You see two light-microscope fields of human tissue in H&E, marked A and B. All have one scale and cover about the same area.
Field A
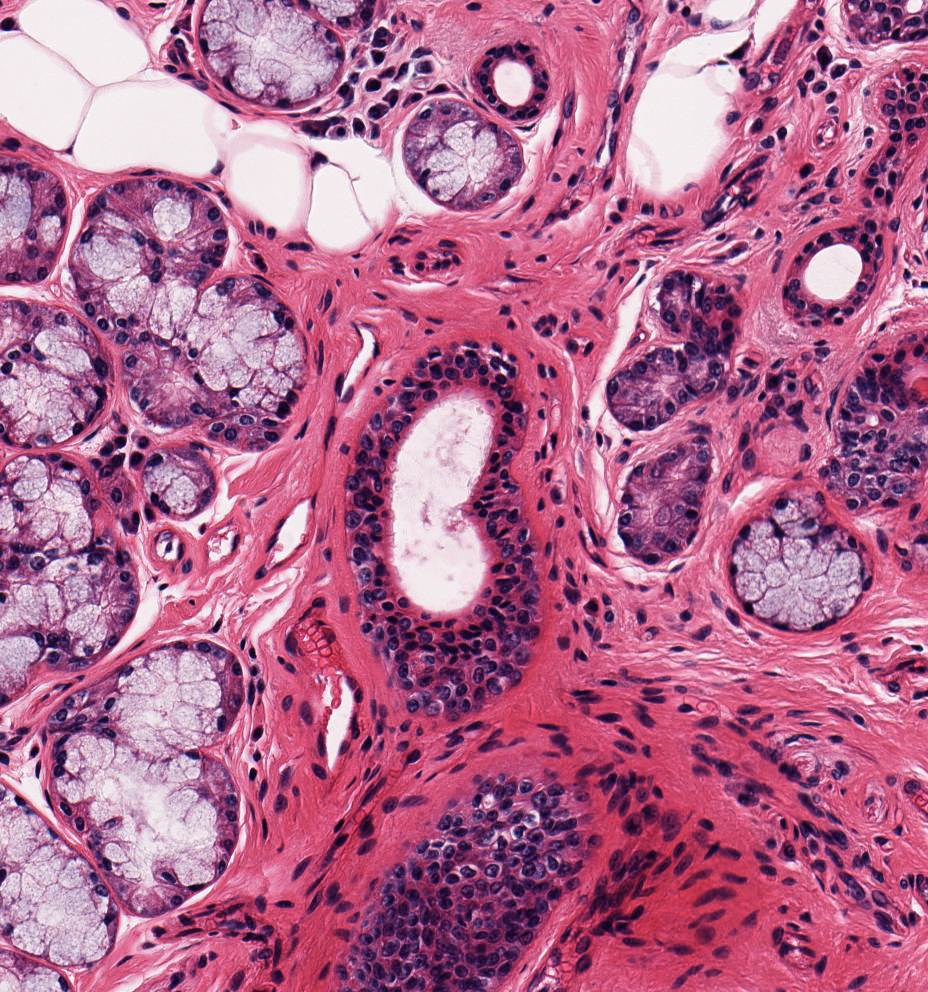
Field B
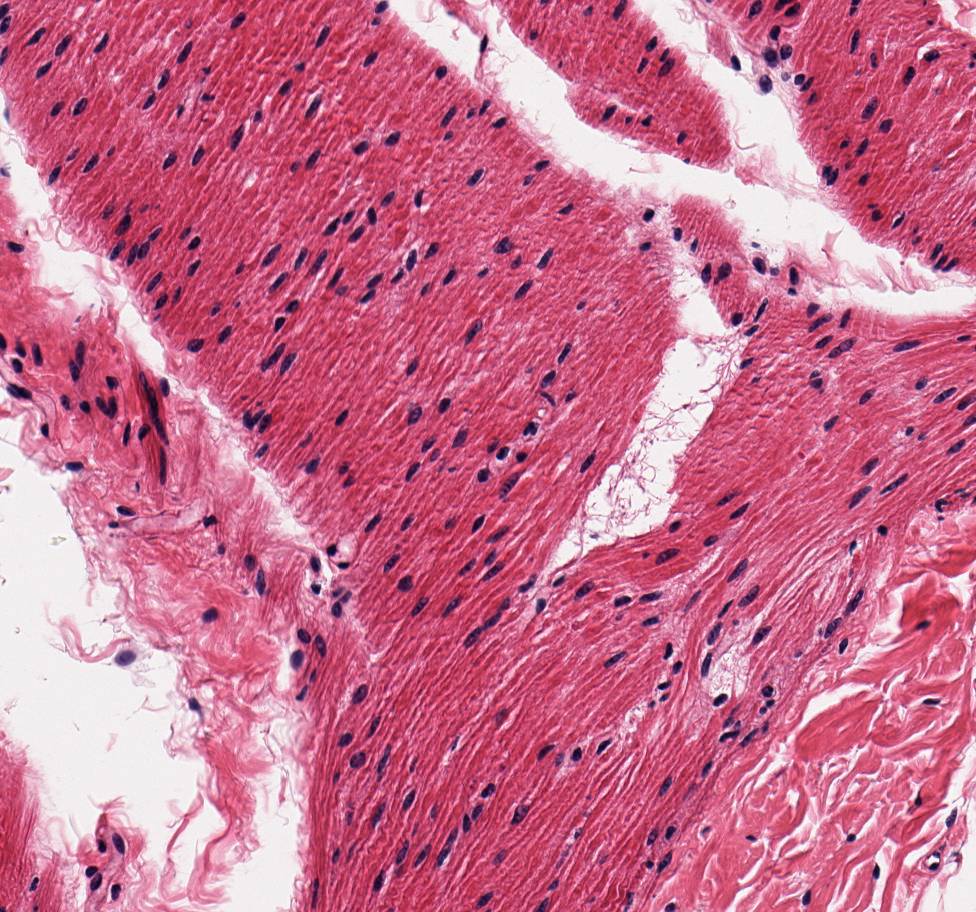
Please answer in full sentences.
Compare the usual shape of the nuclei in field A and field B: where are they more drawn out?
The nuclei are more elongated in field B.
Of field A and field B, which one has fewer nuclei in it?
There are fewer nuclei in field B.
